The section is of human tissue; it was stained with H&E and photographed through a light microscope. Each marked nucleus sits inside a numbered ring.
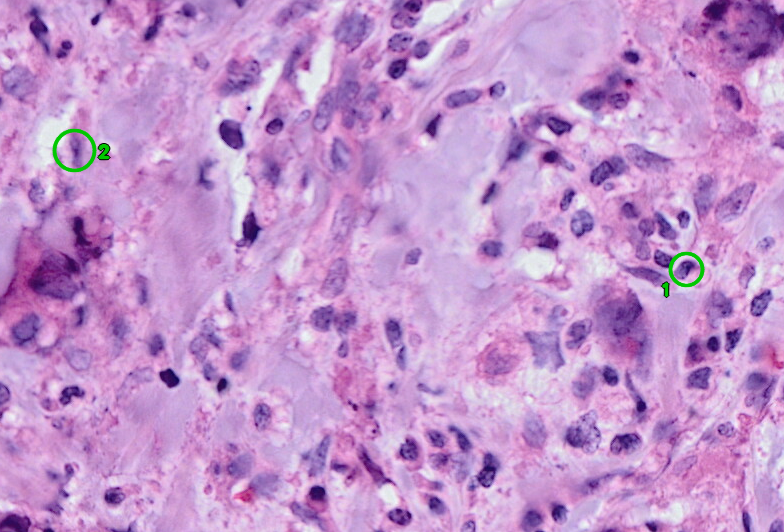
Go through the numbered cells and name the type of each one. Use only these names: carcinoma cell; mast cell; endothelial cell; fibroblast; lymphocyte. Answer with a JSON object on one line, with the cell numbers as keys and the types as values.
{"1": "lymphocyte", "2": "fibroblast"}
